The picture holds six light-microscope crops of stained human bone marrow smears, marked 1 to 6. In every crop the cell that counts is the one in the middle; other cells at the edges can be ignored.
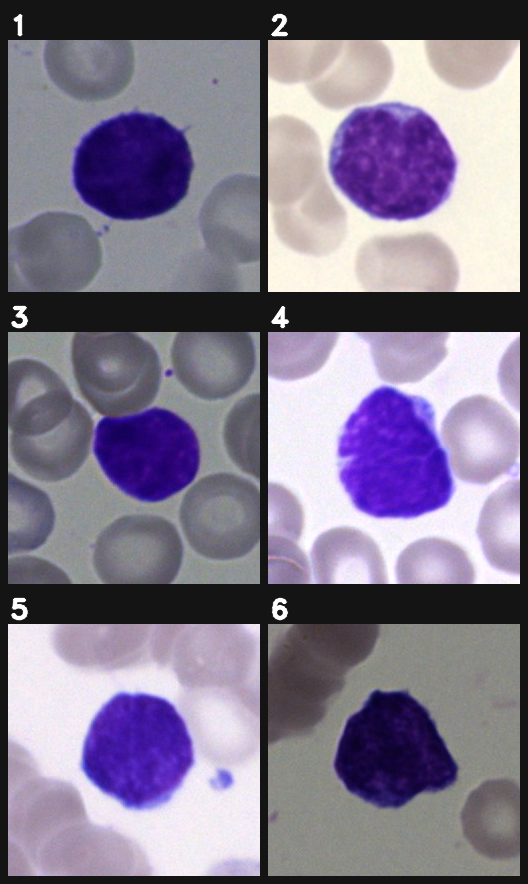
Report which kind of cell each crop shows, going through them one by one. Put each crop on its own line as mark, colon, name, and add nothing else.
1: lymphocyte
2: lymphocyte
3: lymphocyte
4: lymphocyte
5: lymphocyte
6: blast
